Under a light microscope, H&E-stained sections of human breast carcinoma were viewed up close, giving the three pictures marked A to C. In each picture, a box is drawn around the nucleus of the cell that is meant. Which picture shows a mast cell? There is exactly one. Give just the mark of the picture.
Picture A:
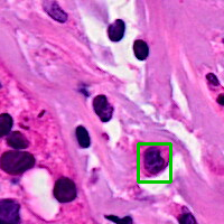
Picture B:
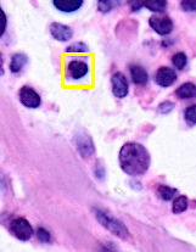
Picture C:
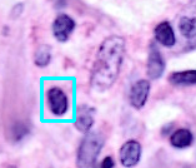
A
